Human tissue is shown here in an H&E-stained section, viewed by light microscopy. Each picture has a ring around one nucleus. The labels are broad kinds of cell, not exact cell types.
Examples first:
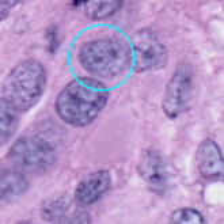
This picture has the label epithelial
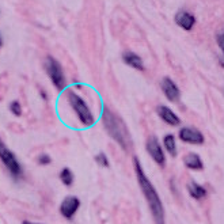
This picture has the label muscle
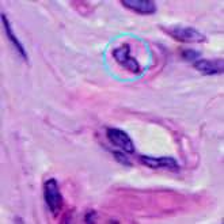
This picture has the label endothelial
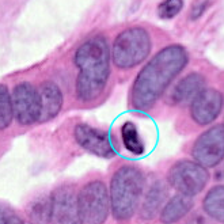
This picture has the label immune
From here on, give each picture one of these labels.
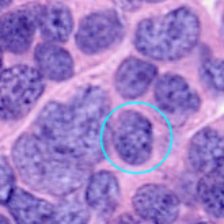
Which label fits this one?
epithelial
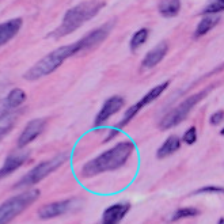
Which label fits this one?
muscle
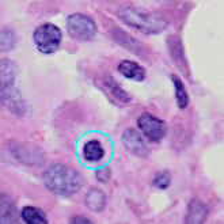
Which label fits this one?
immune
